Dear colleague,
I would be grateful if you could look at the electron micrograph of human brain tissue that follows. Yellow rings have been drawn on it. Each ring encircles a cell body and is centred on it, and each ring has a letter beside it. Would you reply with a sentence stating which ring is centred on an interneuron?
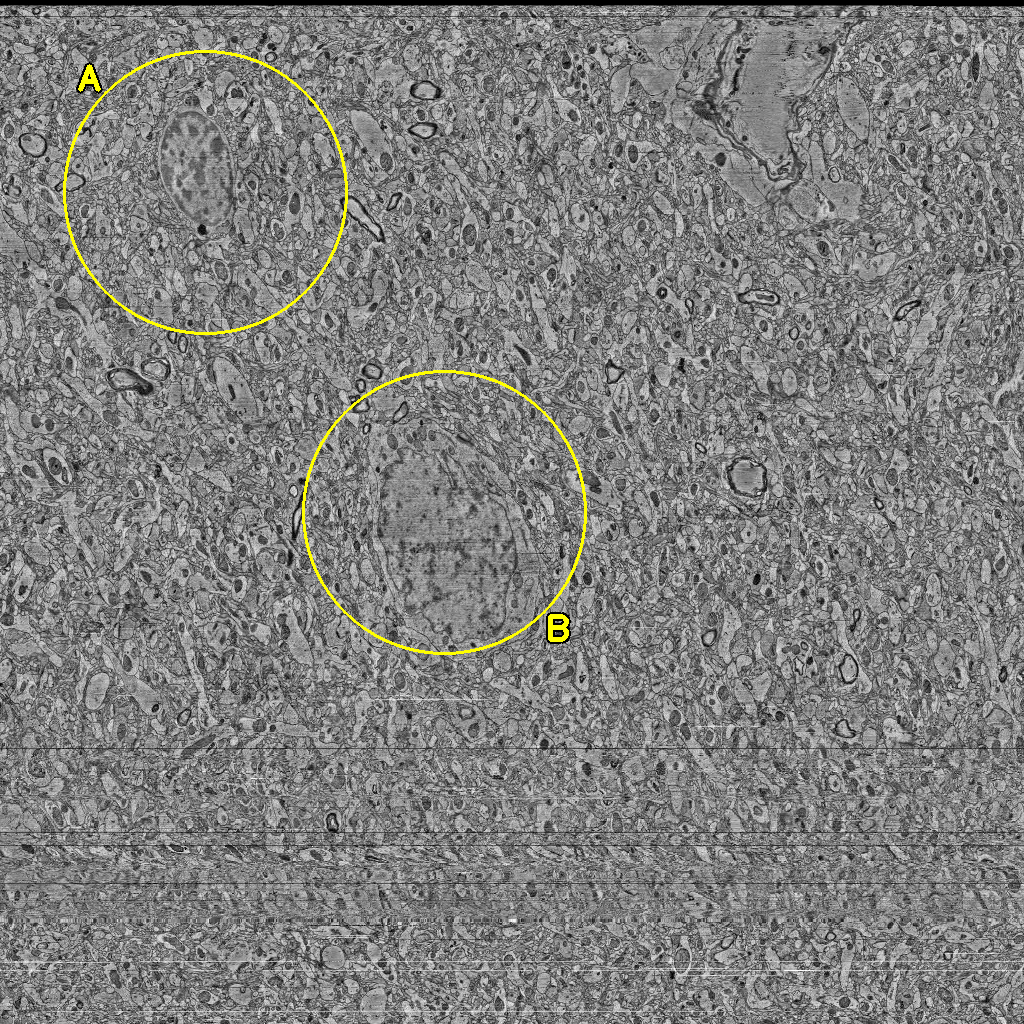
The ring centred on it is ring B.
